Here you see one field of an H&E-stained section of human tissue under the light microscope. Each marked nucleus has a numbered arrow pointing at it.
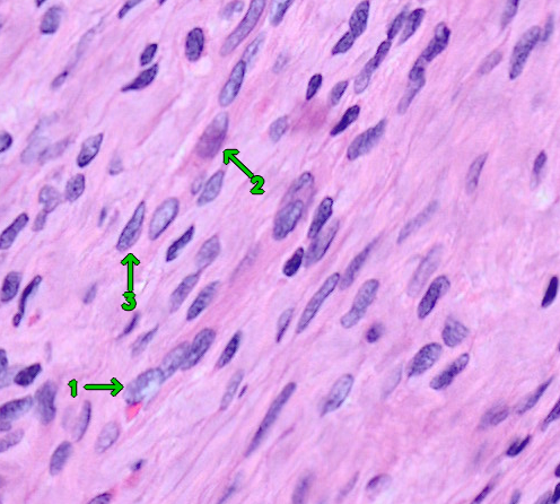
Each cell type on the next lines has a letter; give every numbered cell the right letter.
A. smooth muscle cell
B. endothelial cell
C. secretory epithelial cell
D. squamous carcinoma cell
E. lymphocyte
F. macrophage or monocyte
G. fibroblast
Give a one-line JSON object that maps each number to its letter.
{"1": "B", "2": "B", "3": "A"}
